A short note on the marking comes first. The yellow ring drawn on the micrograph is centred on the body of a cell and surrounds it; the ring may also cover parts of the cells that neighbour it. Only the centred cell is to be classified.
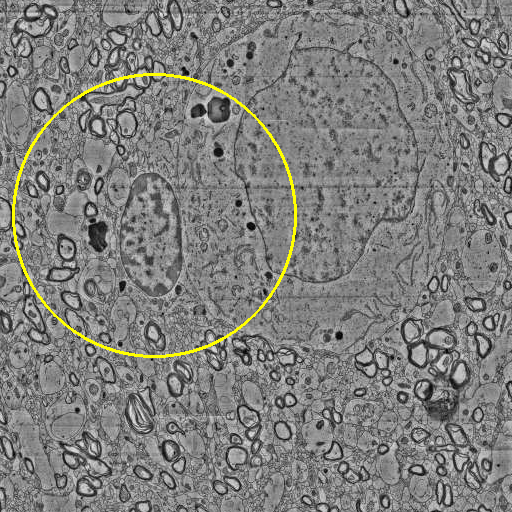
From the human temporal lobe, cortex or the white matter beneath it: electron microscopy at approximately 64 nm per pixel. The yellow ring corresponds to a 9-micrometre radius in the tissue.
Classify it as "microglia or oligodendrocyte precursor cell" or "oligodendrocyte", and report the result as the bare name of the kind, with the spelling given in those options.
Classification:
microglia or oligodendrocyte precursor cell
